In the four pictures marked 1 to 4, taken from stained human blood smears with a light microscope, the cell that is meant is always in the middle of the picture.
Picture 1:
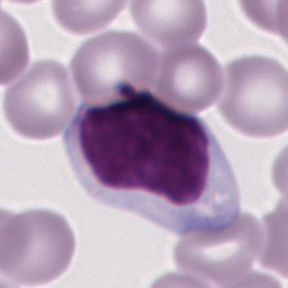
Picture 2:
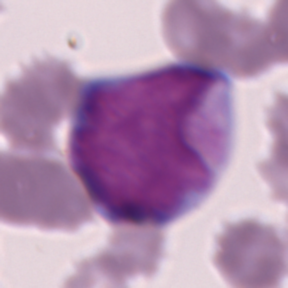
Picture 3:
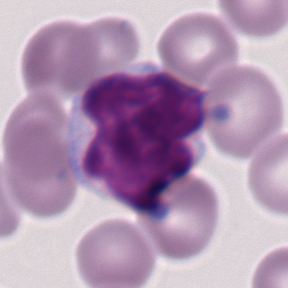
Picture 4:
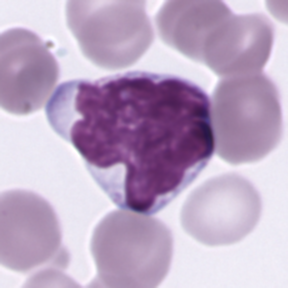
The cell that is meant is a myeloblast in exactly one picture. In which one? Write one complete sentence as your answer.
Picture 2 is the one that shows the myeloblast.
